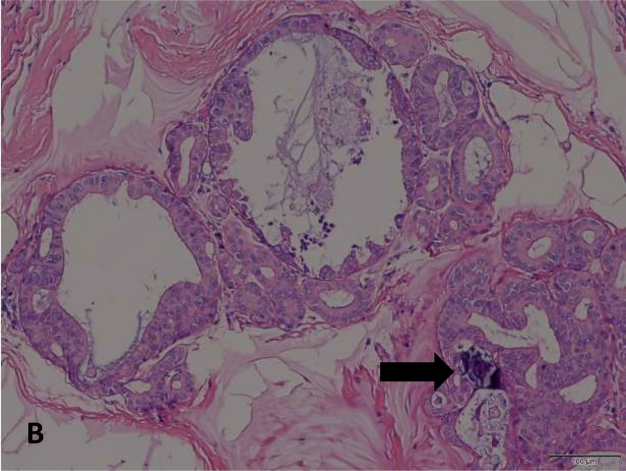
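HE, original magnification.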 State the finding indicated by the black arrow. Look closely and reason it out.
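Microcalcifications. The arrow points at a small dark purple-black irregular deposit. The deposit lies within an epithelial duct structure.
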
